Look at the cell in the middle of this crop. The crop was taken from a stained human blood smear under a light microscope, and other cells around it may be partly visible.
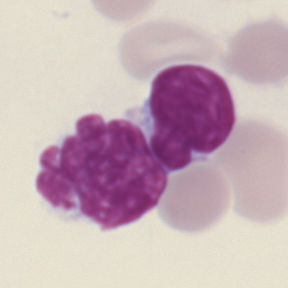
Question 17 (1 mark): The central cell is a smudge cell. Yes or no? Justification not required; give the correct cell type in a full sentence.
No, the centrally located cell is a myeloblast rather than a smudge cell.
